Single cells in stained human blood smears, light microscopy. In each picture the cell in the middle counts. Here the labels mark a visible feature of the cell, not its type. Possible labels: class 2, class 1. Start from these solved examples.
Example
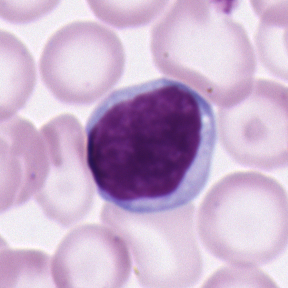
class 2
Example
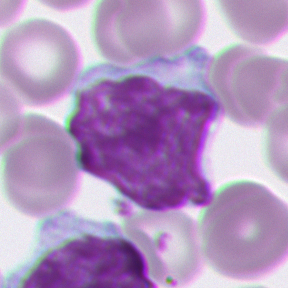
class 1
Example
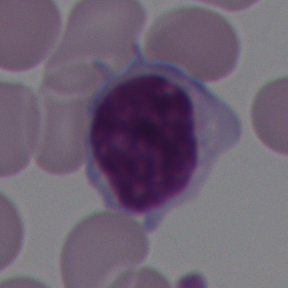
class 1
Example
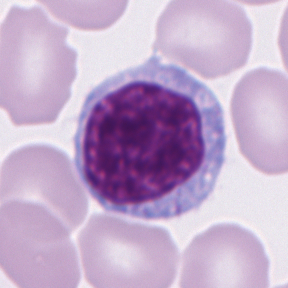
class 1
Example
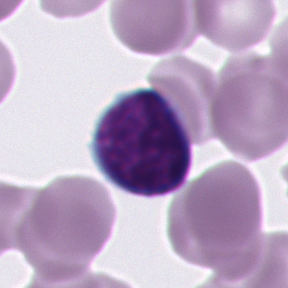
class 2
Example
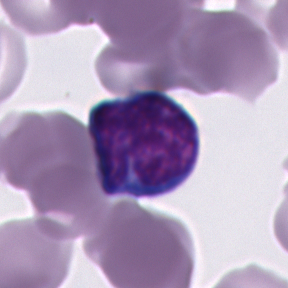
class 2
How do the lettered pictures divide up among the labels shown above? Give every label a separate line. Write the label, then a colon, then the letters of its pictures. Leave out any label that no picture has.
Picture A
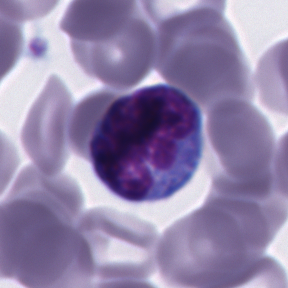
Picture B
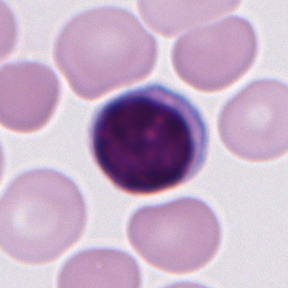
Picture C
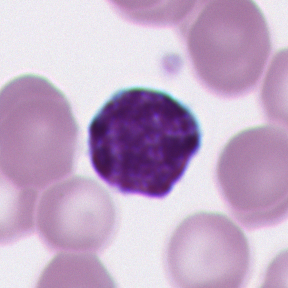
class 2: A, B, C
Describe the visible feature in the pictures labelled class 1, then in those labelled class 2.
In class 1: ragged outline or projections. In class 2: smooth outline.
